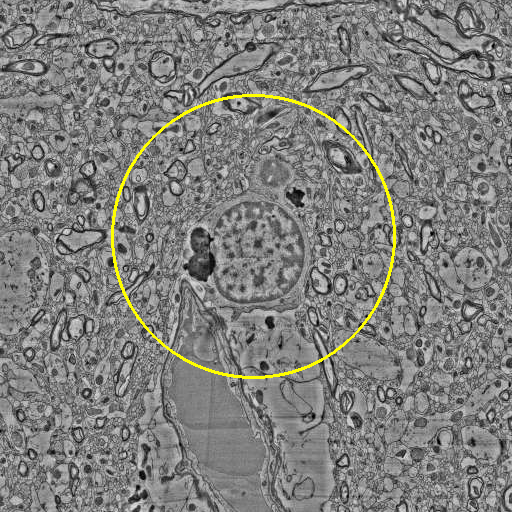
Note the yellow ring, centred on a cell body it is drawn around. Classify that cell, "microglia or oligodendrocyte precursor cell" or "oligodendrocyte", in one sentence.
The cell the ring is centred on is an oligodendrocyte.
